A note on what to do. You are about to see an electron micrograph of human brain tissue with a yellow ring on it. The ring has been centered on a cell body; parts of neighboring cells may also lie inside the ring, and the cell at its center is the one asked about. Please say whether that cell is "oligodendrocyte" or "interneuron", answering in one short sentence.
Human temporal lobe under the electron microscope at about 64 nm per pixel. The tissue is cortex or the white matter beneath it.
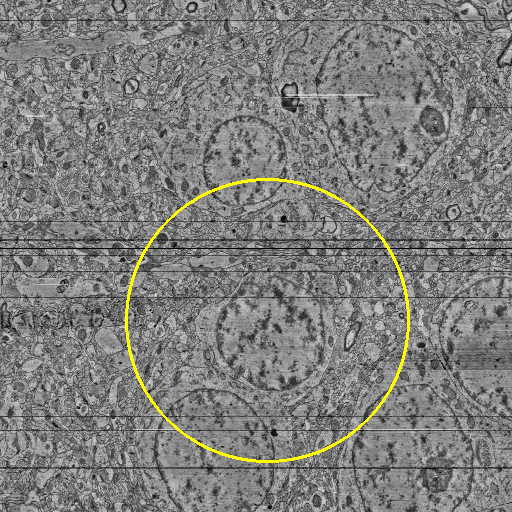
The yellow ring sits on an interneuron.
